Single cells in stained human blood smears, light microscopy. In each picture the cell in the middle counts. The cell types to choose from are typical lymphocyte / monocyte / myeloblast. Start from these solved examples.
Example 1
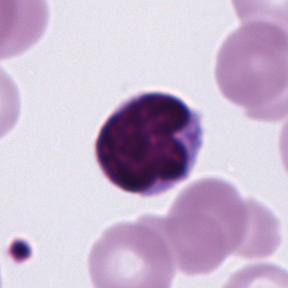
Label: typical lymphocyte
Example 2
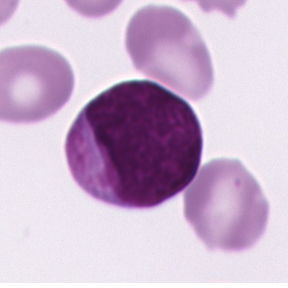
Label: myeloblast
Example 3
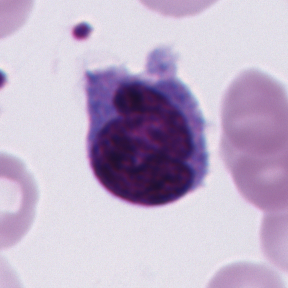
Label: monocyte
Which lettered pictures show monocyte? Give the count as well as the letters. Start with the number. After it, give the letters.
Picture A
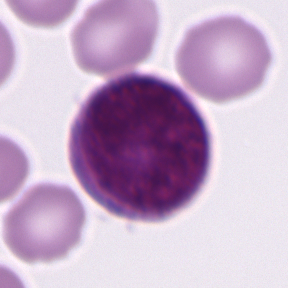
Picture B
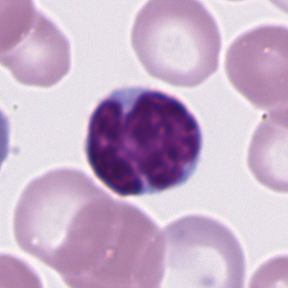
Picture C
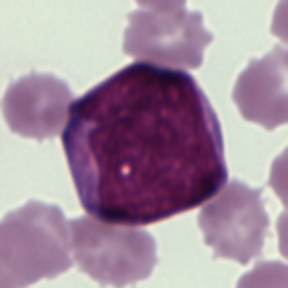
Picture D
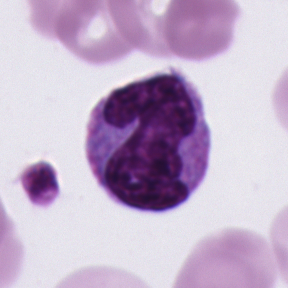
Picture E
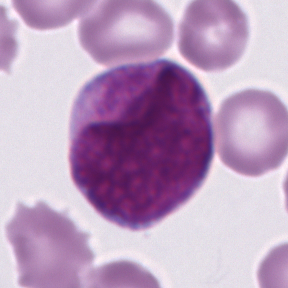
1, namely D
